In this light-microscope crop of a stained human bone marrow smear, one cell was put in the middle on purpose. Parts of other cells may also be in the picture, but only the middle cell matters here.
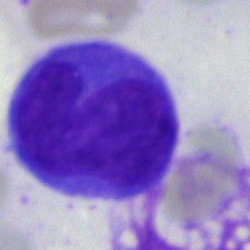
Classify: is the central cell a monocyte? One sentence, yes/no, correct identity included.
Yes, the middle cell in this crop is a monocyte.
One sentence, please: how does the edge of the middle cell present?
Smooth all around, the outline has no projections to report.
